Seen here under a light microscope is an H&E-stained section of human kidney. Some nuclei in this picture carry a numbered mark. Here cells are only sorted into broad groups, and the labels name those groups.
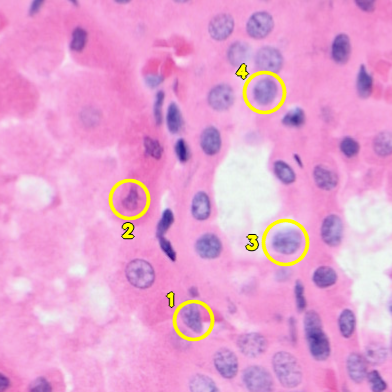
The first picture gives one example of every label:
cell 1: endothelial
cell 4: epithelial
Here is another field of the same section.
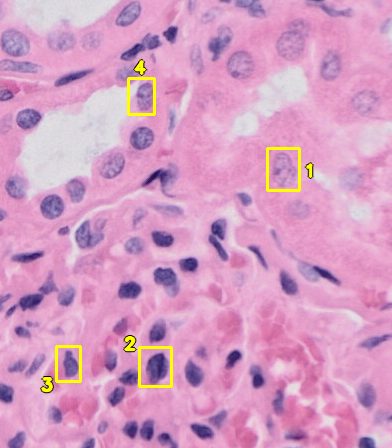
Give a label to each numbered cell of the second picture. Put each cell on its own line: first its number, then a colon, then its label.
1: epithelial
2: endothelial
3: endothelial
4: epithelial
